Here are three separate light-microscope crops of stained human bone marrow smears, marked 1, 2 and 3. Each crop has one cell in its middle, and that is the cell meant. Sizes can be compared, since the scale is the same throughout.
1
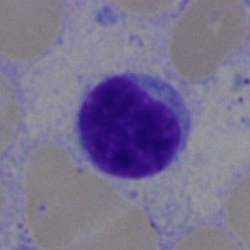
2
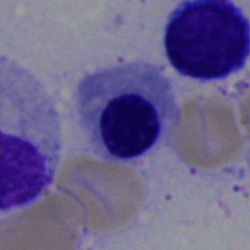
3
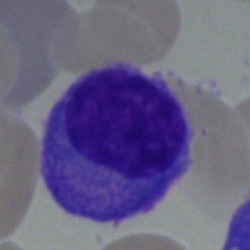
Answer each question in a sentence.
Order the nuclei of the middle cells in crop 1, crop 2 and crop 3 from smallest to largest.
Going up, they run 2, 1, 3.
